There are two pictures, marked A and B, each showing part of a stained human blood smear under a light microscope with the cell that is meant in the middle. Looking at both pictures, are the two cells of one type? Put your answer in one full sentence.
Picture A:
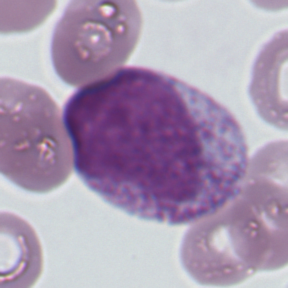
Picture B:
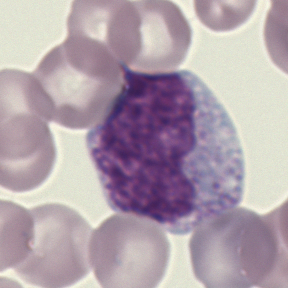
Yes, both cells are myelocytes.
